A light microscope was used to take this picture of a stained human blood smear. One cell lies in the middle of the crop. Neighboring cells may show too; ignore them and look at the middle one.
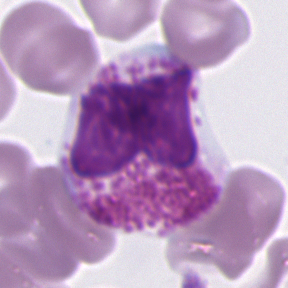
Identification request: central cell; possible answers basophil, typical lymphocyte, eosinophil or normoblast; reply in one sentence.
The middle of this crop is occupied by an eosinophil.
